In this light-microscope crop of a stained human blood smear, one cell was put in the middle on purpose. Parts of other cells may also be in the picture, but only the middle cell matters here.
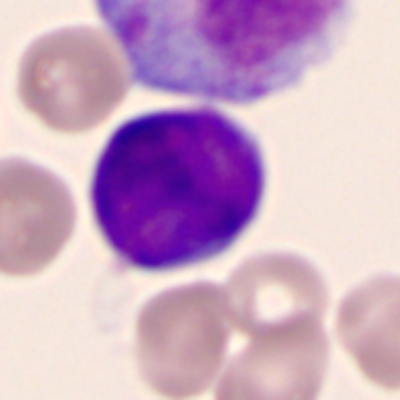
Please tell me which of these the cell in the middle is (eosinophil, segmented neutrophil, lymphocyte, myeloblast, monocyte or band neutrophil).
myeloblast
